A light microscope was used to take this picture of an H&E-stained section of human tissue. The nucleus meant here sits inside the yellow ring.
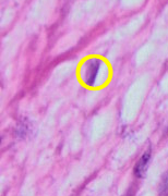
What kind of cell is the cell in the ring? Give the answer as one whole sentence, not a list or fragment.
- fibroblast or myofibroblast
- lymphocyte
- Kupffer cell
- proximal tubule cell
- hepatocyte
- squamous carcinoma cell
In the context of this tissue, the cell in the ring is a fibroblast or myofibroblast.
